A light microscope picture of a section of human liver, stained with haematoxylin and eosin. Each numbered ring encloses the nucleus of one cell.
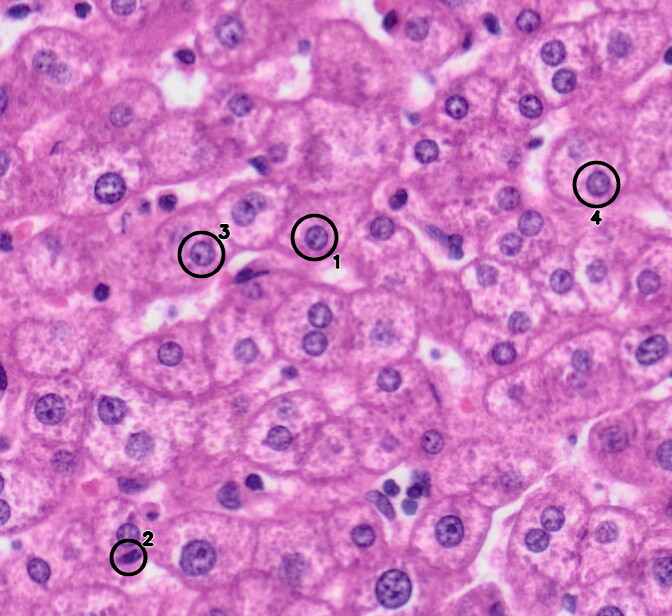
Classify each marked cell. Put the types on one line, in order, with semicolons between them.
hepatocyte; fibroblast or stellate cell; hepatocyte; hepatocyte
